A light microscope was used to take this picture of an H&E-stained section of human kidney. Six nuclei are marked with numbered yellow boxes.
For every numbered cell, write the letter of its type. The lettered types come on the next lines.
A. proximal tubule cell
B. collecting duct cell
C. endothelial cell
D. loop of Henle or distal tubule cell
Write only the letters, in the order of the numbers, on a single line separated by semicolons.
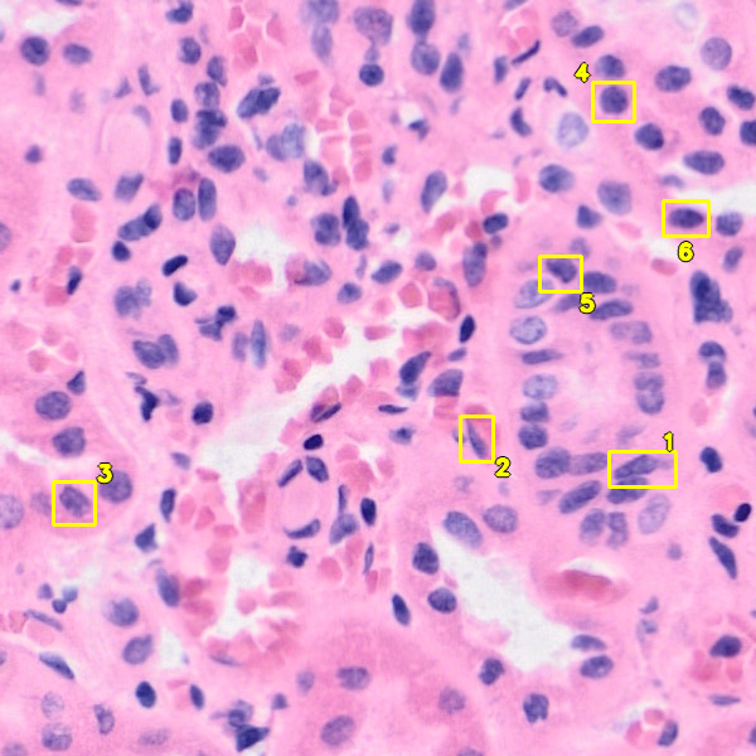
B; C; A; D; B; D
